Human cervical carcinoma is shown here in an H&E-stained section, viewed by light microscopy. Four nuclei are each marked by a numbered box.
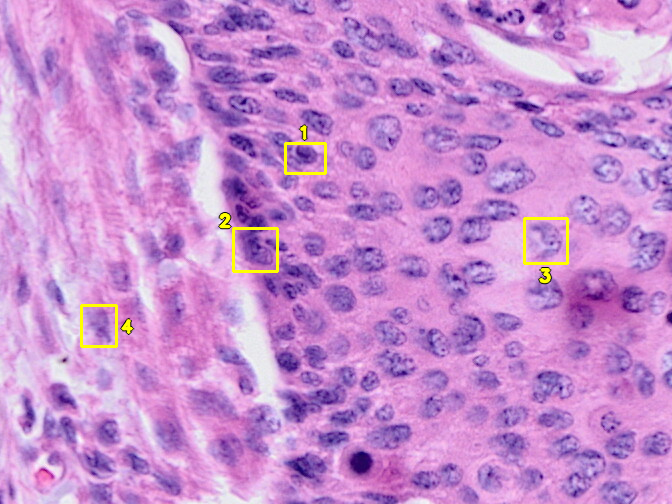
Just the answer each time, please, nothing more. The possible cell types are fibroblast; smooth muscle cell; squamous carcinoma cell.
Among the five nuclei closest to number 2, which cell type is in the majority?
squamous carcinoma cell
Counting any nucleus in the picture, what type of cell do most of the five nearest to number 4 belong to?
fibroblast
